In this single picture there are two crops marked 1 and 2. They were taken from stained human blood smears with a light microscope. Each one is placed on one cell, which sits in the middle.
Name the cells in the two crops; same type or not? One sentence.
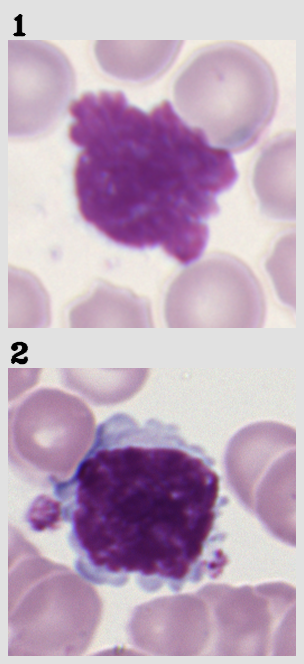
No, crop 1 shows a smudge cell and crop 2 a typical lymphocyte.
